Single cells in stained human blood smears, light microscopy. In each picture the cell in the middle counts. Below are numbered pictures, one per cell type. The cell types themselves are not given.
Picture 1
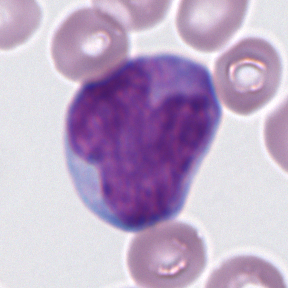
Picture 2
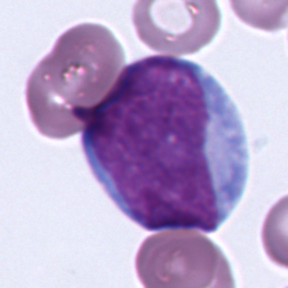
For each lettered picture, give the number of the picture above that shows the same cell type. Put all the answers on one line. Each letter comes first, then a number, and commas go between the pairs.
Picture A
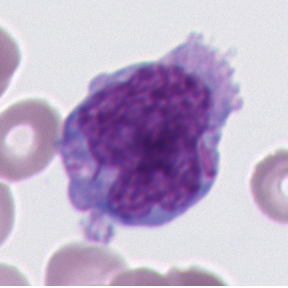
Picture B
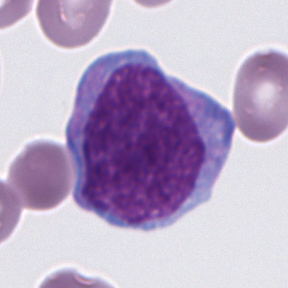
A 1, B 1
